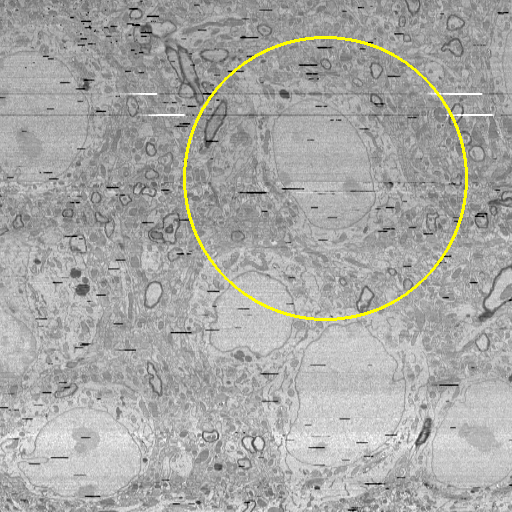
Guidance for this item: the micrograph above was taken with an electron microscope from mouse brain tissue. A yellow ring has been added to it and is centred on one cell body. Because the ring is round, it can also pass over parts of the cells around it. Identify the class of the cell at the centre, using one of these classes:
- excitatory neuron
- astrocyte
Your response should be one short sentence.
The ring surrounds the body of an excitatory neuron.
